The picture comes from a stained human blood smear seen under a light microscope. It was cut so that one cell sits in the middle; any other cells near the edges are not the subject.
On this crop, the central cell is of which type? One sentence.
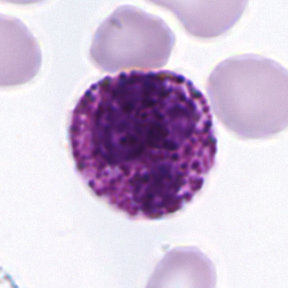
On this slide crop, the central cell is a basophil.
